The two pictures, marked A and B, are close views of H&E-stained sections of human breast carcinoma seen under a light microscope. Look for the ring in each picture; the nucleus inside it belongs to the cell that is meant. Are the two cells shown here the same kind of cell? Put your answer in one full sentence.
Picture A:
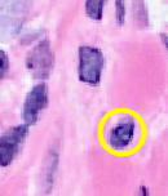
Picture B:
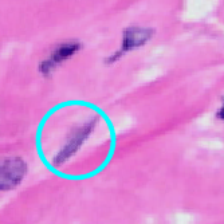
No. Picture A shows a lymphocyte, but picture B shows a fibroblast.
